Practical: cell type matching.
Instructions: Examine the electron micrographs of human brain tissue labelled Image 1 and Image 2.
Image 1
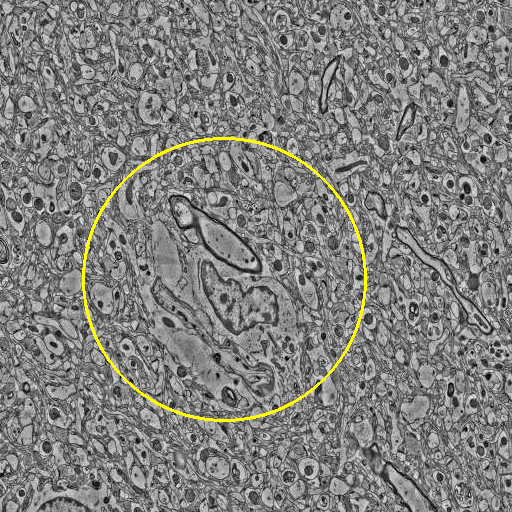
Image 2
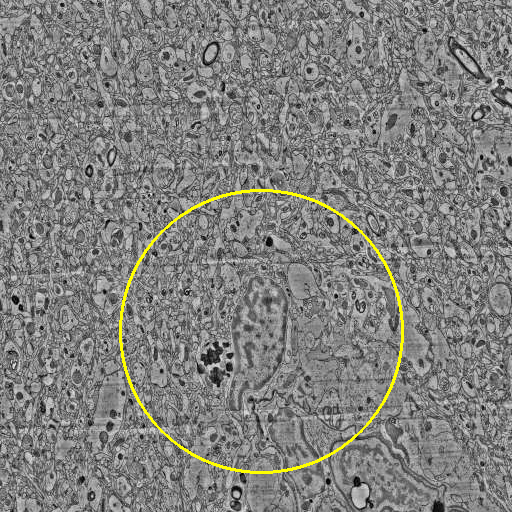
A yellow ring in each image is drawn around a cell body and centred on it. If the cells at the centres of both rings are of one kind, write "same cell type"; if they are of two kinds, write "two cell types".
same cell type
